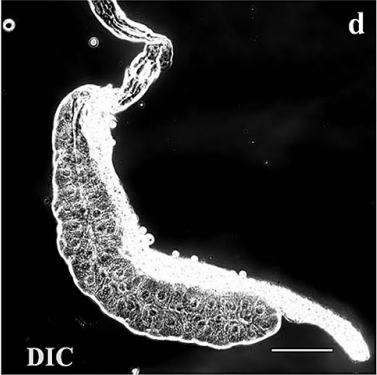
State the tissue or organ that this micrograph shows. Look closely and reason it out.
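An elongated sac-like organ made of large polygonal cells. A thin duct leads from its upper end.
Whole salivary glands.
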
